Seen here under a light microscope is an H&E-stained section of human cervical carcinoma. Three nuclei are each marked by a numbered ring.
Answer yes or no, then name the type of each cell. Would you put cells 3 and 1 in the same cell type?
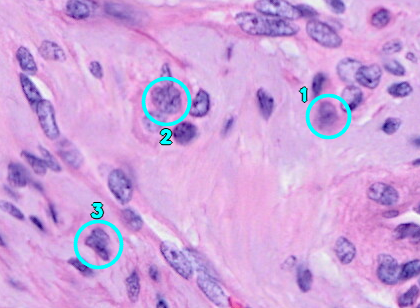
No, classify cell 3 as a smooth muscle cell and cell 1 as an endothelial cell.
